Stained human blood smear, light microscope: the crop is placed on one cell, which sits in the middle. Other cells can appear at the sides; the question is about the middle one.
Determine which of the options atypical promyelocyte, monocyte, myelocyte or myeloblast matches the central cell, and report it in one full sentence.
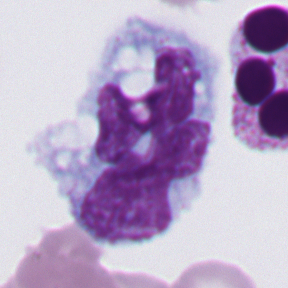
The cell at the central position in this crop is a monocyte.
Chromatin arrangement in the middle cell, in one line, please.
The chromatin is fine; coarse clumps are not a feature here.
